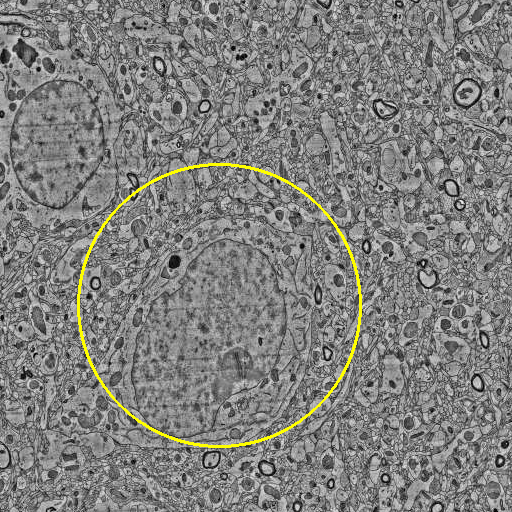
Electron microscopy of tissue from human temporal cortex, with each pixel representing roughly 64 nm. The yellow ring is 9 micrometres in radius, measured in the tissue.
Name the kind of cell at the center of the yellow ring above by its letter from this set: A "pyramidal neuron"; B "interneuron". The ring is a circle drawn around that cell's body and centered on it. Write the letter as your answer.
B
